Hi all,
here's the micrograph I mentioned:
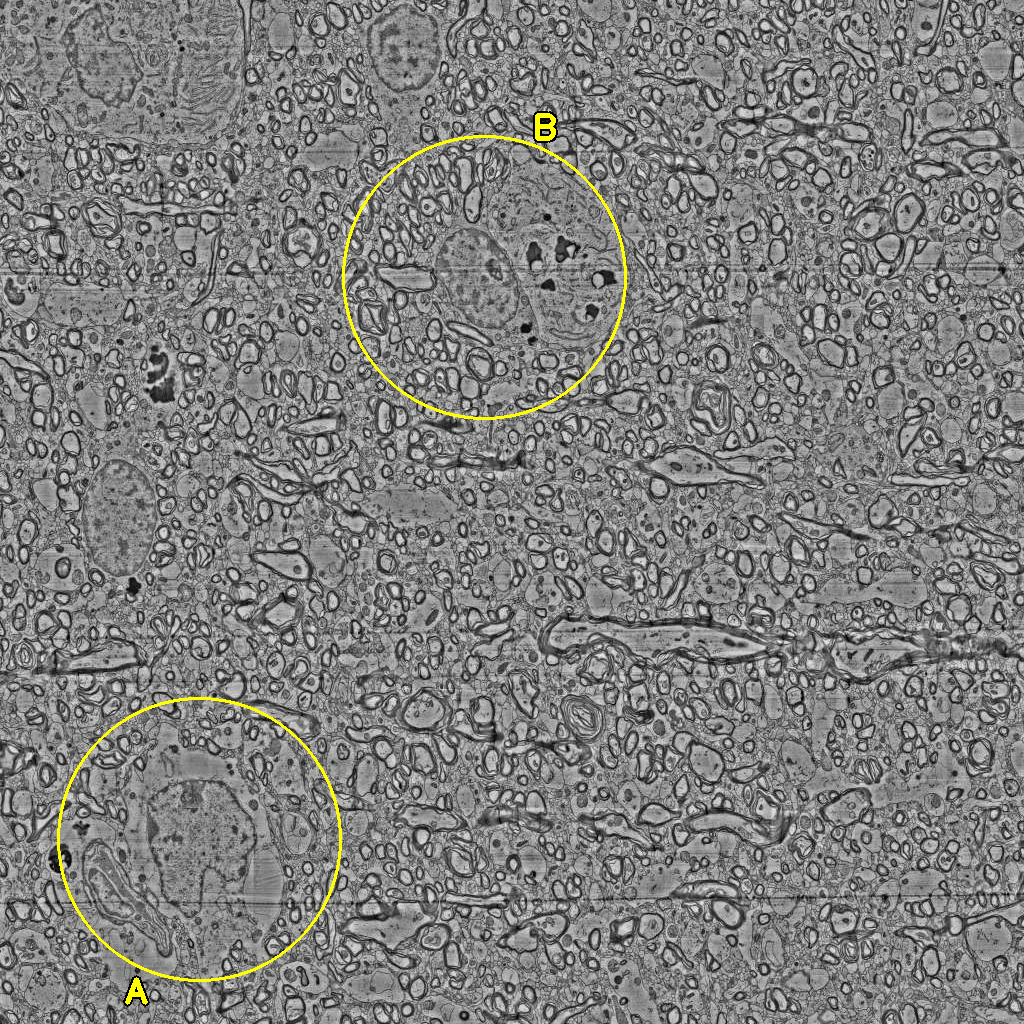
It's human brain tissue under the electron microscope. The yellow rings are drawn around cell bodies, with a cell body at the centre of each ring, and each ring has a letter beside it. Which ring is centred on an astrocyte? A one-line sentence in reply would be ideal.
It's the one labelled A.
